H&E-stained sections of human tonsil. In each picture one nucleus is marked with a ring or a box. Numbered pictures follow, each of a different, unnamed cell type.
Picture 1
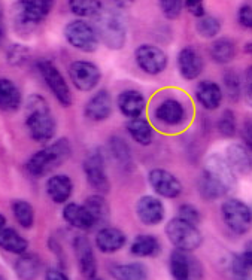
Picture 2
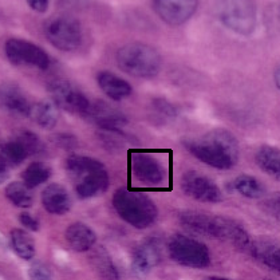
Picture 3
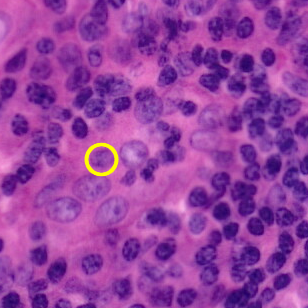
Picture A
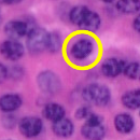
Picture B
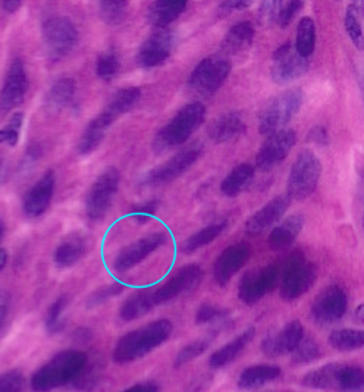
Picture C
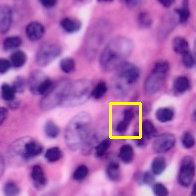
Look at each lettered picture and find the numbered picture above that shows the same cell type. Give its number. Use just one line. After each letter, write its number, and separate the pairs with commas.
A 1, B 2, C 3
